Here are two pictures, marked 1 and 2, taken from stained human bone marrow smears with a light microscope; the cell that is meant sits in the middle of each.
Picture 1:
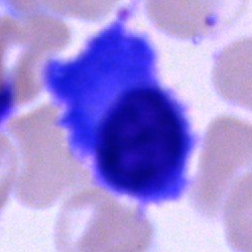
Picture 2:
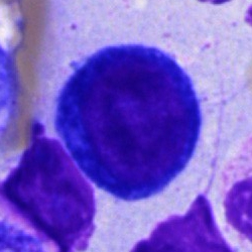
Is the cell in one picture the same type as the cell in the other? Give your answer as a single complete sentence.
No. Picture 1 shows a plasma cell, but picture 2 shows a proerythroblast.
